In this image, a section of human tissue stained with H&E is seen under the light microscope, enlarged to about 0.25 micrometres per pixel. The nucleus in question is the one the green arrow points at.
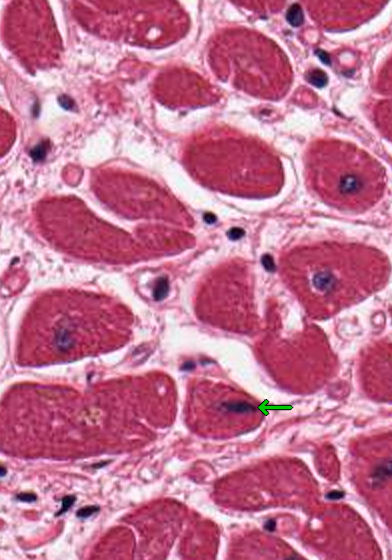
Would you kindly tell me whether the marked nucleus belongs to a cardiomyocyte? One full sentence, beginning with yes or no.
Yes, belonging to a cardiomyocyte is the marked nucleus.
